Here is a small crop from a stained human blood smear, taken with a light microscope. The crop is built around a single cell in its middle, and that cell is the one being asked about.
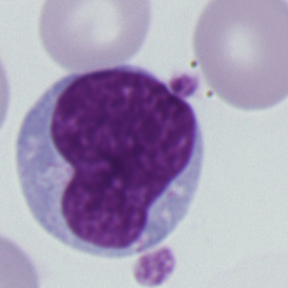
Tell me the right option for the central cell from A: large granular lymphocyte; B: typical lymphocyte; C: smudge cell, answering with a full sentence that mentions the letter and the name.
The cell shown centrally is a typical lymphocyte; option B is the correct option.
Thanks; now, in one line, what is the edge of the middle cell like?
No projections interrupt the outline; it is smooth all the way round.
